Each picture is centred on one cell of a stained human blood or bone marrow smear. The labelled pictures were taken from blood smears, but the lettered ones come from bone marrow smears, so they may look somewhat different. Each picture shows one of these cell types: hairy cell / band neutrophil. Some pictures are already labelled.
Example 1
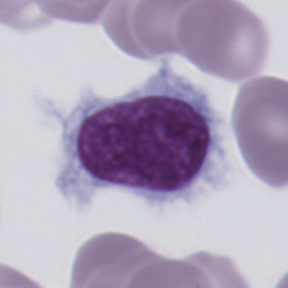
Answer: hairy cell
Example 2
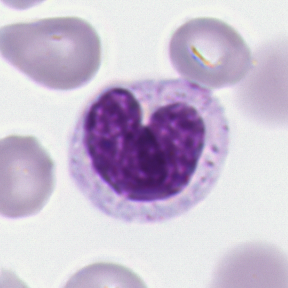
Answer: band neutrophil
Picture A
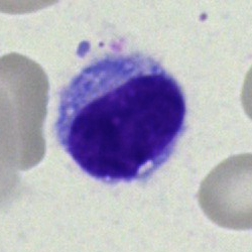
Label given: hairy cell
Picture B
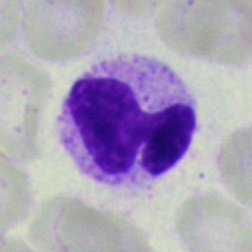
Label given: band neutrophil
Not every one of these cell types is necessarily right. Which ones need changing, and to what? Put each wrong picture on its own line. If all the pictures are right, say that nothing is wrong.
All correct.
